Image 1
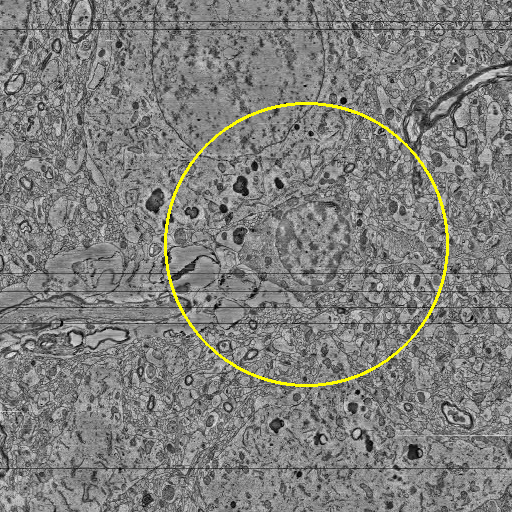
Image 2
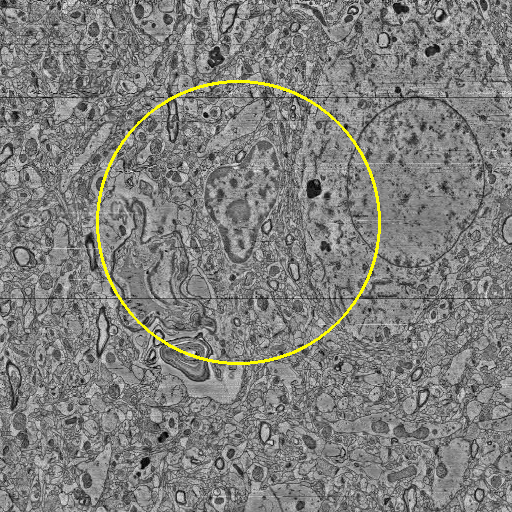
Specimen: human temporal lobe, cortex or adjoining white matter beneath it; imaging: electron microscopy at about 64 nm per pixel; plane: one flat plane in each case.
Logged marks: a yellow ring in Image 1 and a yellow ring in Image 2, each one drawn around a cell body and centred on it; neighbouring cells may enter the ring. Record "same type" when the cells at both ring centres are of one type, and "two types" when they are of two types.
two types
